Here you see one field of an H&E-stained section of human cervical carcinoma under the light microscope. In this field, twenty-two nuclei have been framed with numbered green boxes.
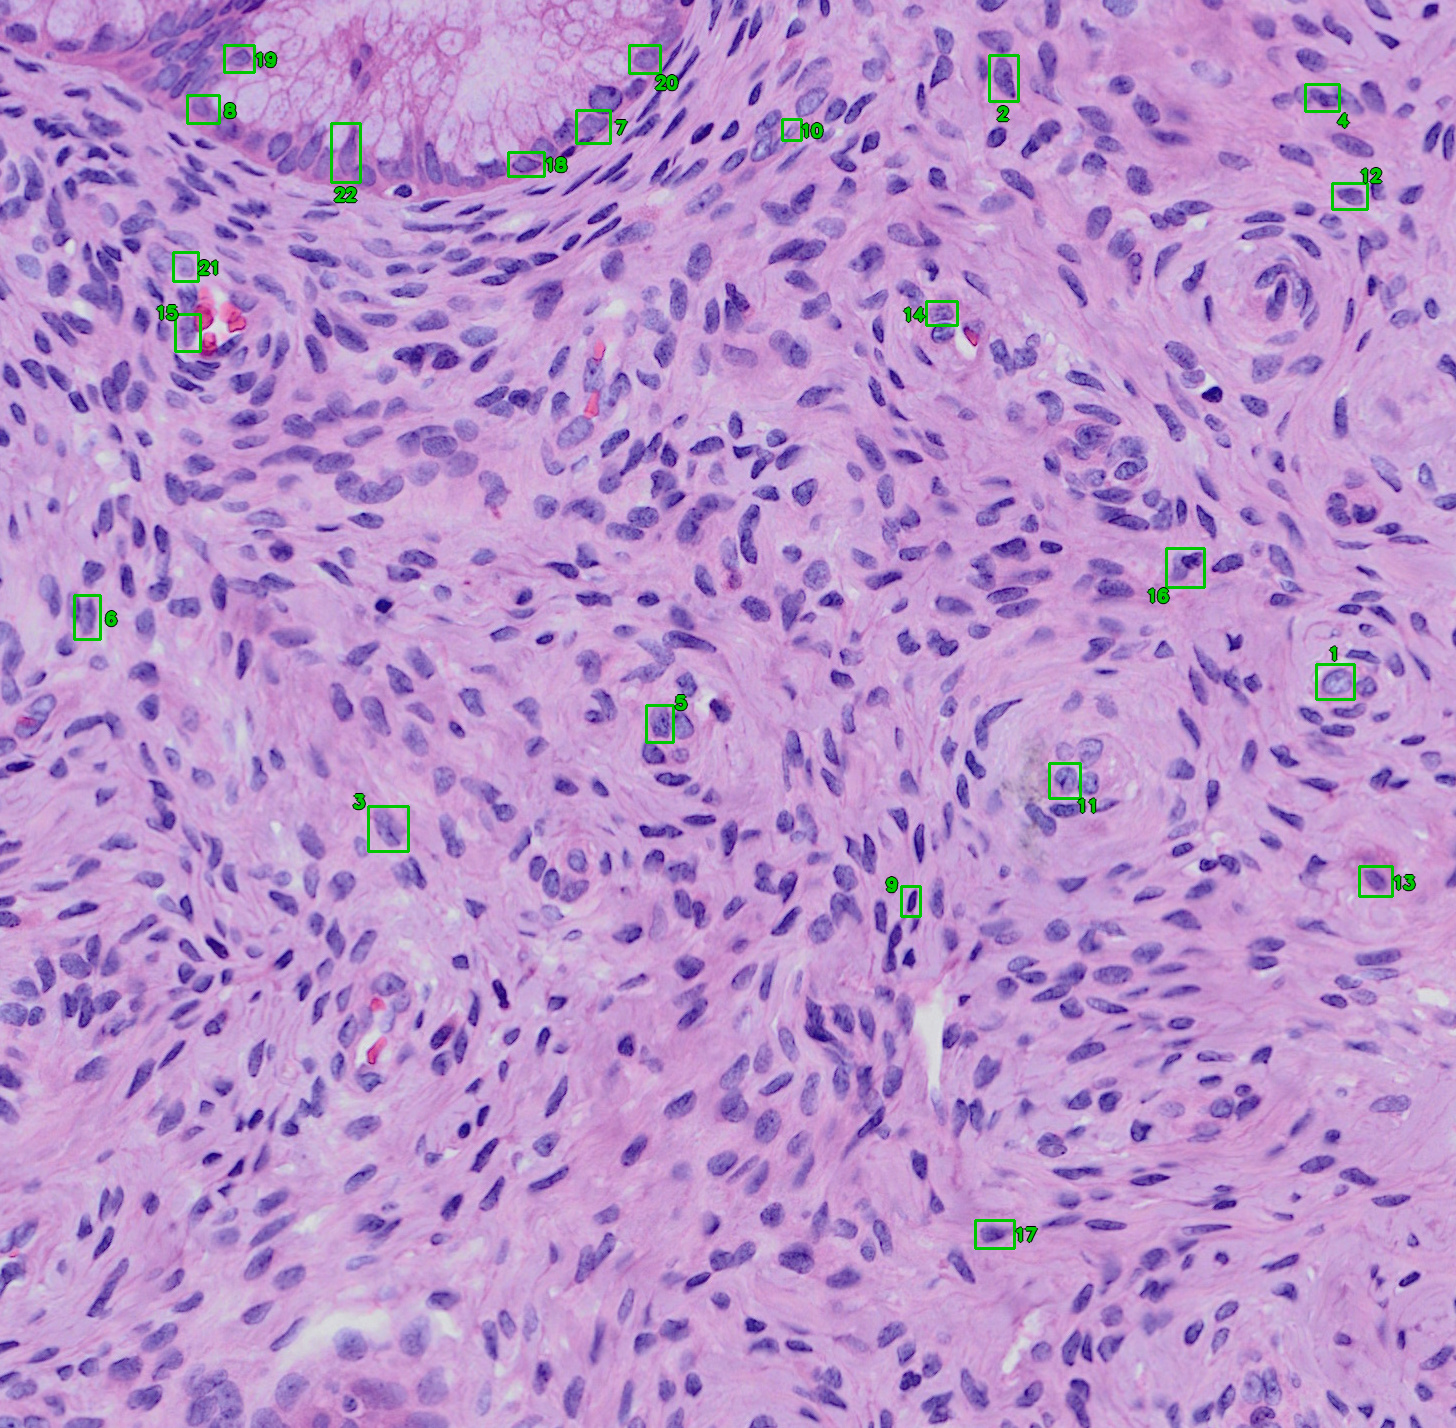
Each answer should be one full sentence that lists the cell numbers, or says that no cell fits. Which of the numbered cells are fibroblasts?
The cells whose numbers are 2, 3, 4, 6, 9, 12, 16 and 17 are fibroblasts.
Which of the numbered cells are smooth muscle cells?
The sole numbered cell that is a smooth muscle cell is cell 13.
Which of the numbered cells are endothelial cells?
As for the cells numbered 1, 5, 10, 11, 14, 15 and 21, they are endothelial cells.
